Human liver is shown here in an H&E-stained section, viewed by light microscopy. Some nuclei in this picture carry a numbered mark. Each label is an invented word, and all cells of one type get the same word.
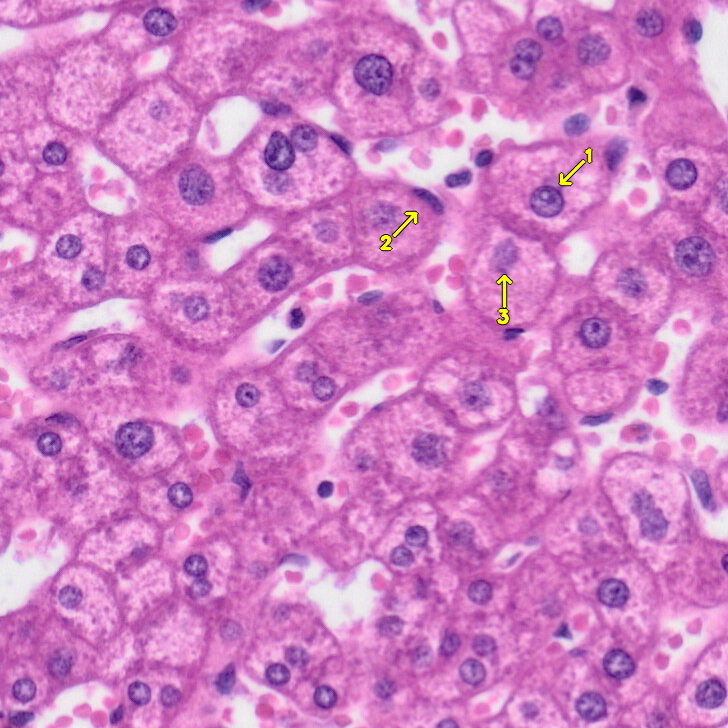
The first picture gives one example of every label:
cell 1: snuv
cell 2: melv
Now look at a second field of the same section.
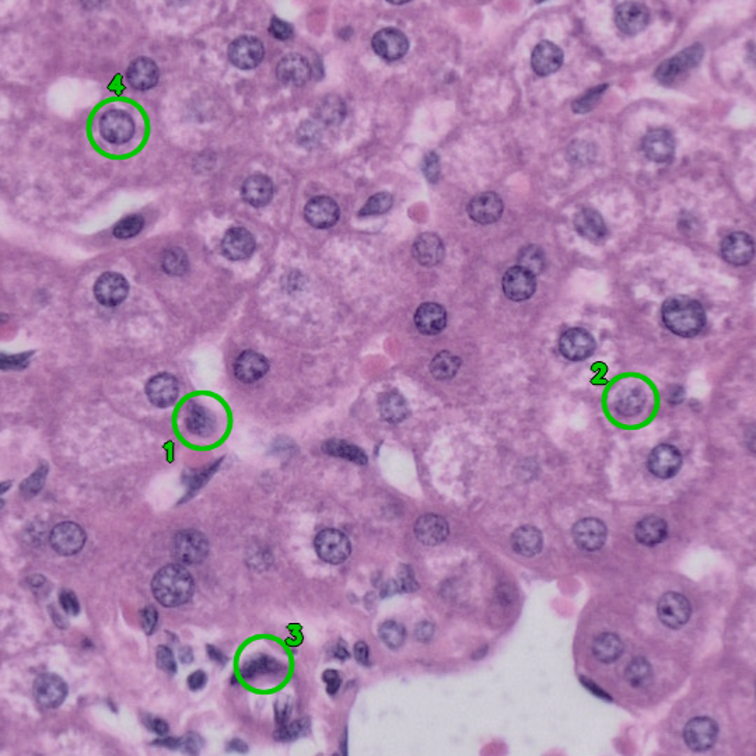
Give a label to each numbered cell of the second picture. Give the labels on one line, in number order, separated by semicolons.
melv; snuv; melv; snuv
